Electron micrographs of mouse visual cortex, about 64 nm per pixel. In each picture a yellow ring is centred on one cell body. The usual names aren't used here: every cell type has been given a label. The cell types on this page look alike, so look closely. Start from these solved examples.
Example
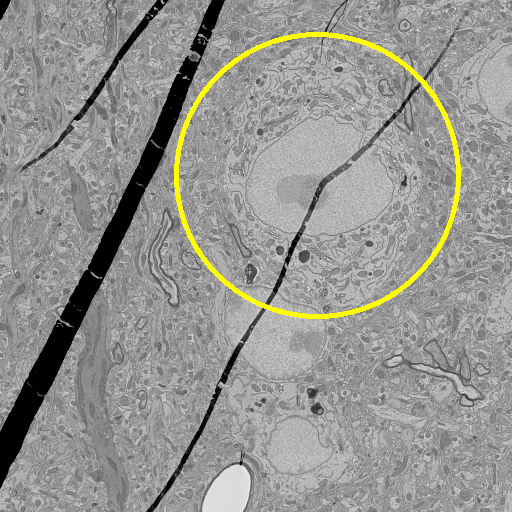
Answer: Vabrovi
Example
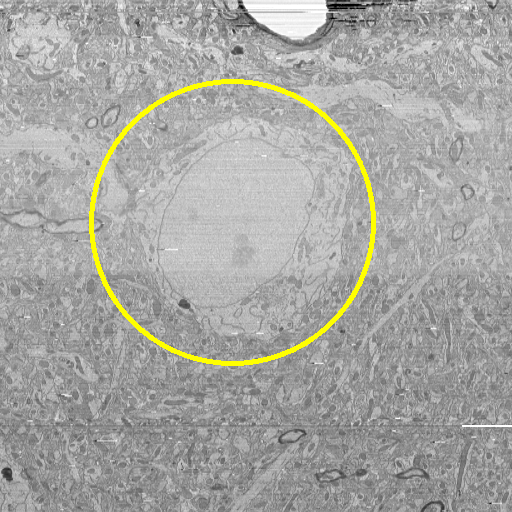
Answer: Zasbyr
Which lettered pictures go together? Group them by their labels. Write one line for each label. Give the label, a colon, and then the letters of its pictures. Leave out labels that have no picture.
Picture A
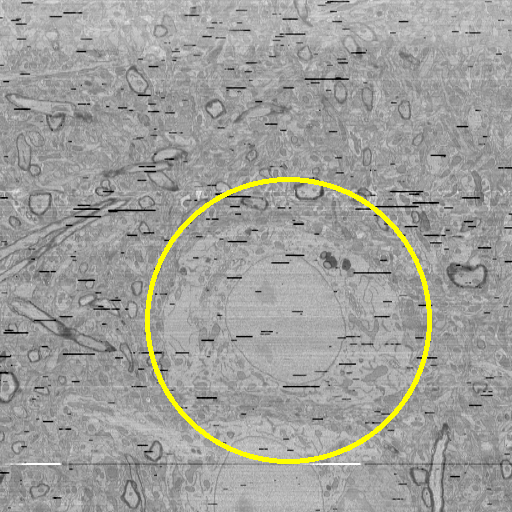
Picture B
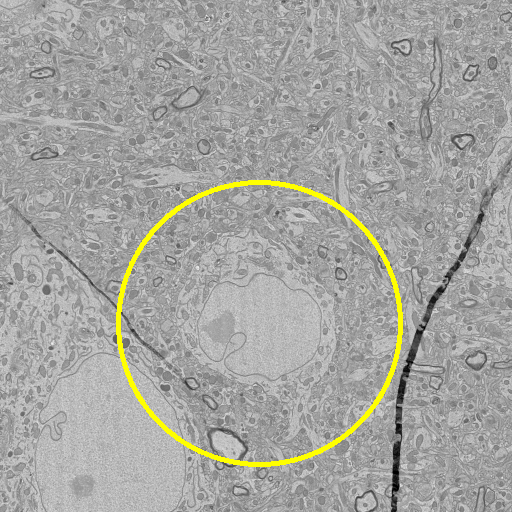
Zasbyr: A, B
